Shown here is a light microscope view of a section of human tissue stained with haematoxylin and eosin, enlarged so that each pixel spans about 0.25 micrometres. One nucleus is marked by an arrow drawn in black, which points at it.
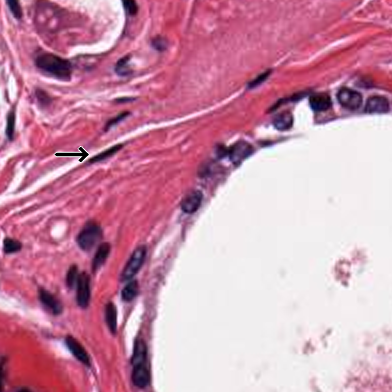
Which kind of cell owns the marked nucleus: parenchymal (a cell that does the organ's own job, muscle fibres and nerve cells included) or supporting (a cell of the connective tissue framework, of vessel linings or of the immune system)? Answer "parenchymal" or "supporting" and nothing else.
supporting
